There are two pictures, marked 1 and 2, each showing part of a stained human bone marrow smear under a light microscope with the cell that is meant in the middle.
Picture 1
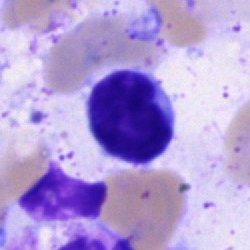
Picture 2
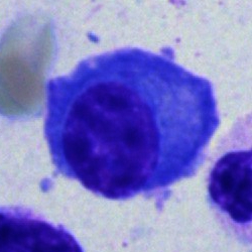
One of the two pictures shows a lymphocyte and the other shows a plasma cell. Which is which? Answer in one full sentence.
Picture 1 shows a lymphocyte and picture 2 shows a plasma cell.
